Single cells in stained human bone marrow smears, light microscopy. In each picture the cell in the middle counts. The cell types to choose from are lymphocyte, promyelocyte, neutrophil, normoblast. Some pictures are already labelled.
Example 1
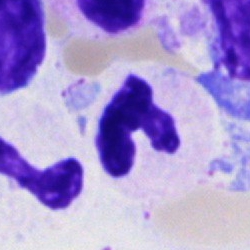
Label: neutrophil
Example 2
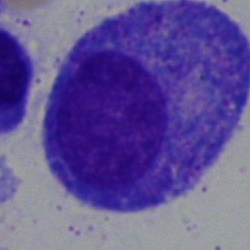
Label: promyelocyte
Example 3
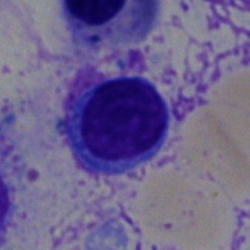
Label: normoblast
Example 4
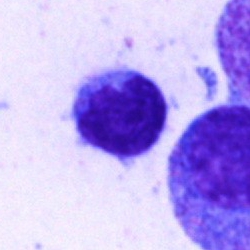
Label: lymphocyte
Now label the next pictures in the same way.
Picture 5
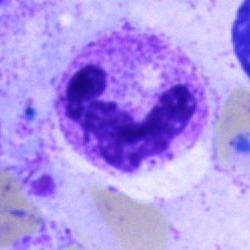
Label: neutrophil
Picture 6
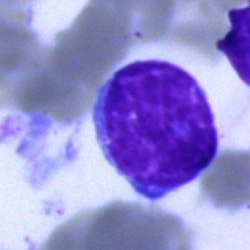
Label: lymphocyte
